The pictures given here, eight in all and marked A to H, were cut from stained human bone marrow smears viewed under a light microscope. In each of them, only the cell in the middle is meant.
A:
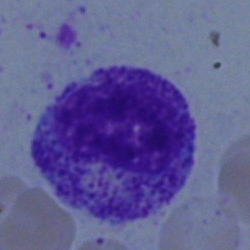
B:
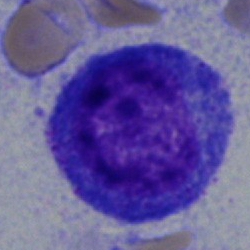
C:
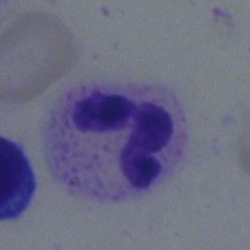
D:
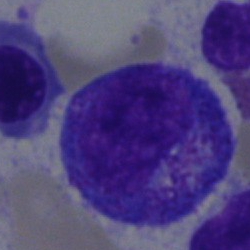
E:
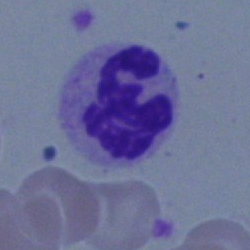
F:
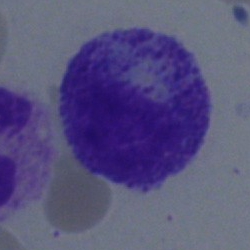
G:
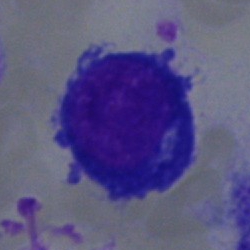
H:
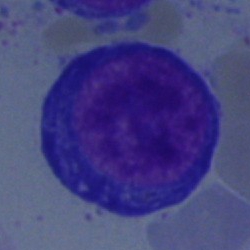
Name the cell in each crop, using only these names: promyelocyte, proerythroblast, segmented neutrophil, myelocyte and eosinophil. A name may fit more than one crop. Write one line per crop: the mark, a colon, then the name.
A: myelocyte
B: promyelocyte
C: segmented neutrophil
D: promyelocyte
E: segmented neutrophil
F: myelocyte
G: proerythroblast
H: proerythroblast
